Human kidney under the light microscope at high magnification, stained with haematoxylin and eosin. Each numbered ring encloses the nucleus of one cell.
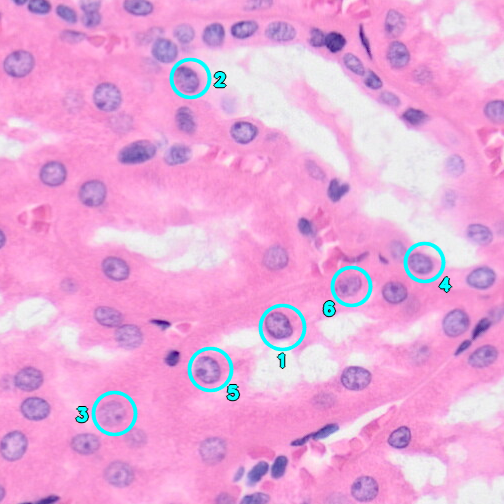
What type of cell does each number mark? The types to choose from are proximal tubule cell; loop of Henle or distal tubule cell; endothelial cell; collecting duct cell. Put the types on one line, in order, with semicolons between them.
proximal tubule cell; collecting duct cell; proximal tubule cell; collecting duct cell; proximal tubule cell; proximal tubule cell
